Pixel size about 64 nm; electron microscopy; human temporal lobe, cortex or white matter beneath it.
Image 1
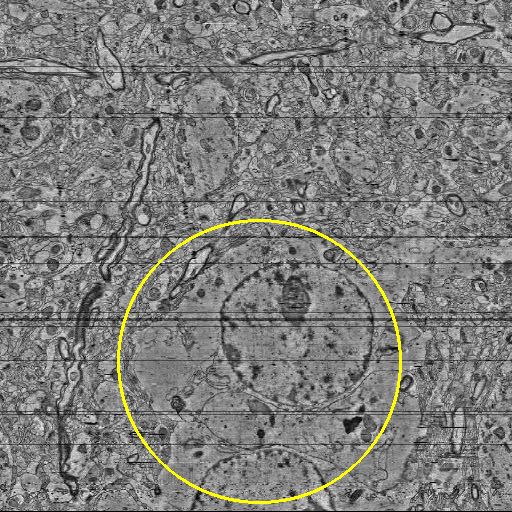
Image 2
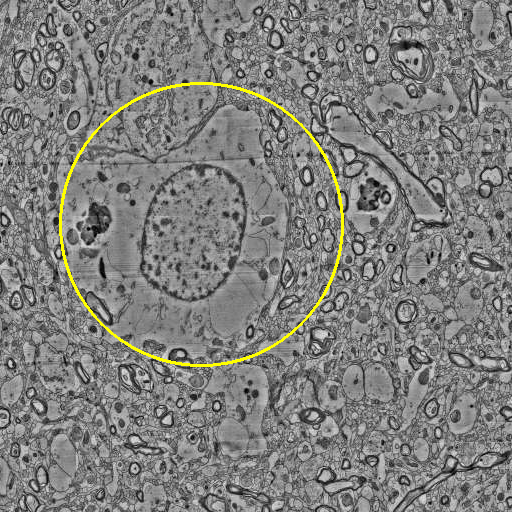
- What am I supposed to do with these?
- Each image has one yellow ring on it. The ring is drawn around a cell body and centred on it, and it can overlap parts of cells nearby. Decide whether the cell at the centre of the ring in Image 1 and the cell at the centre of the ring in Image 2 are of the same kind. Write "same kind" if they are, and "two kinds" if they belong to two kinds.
same kind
